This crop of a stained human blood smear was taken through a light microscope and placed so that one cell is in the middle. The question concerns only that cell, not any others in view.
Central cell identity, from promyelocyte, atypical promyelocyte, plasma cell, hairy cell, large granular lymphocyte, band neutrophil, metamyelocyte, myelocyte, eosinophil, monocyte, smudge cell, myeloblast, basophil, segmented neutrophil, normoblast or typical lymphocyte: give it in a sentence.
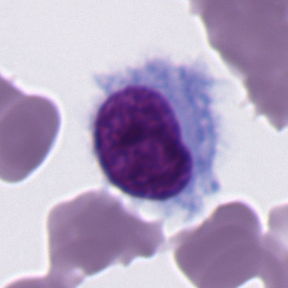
The crop shows a hairy cell in its centre.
